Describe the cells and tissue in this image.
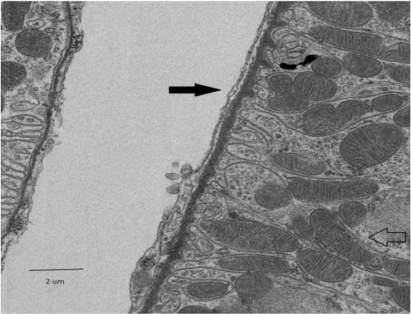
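A pale, empty band runs diagonally on the left, bordered by a thin dark line; to its right lies the cytoplasm of kidney tubule epithelial cells. This cytoplasm is crowded with elongated mitochondria lined up side by side, each filled with crisp, parallel cristae. Between them run narrow membrane folds, giving a striated look toward the base of the cells.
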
